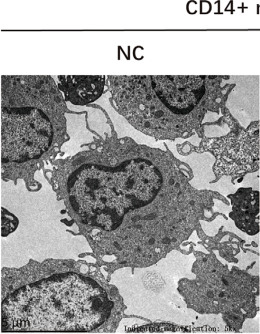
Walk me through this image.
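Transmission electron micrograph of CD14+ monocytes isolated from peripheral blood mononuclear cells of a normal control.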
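The cell in the middle has a large, indented nucleus with dark, clumped chromatin along its edge and paler chromatin inside. A rim of grey cytoplasm surrounds the nucleus, and the cell surface has many short, finger-like projections. Parts of neighbouring cells with similar dark nuclei lie around it.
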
